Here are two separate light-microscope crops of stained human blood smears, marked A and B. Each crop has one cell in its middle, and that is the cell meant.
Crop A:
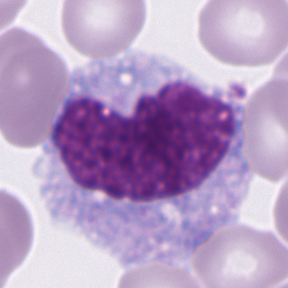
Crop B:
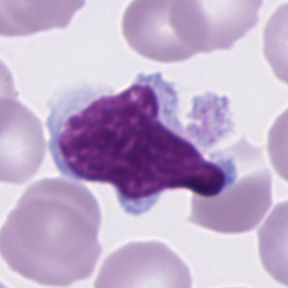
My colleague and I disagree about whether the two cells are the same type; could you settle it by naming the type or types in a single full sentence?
No, crop A displays a monocyte and crop B displays a large granular lymphocyte.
